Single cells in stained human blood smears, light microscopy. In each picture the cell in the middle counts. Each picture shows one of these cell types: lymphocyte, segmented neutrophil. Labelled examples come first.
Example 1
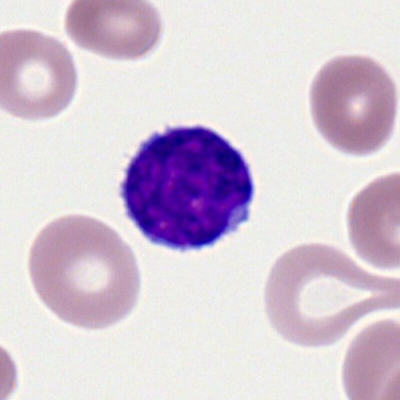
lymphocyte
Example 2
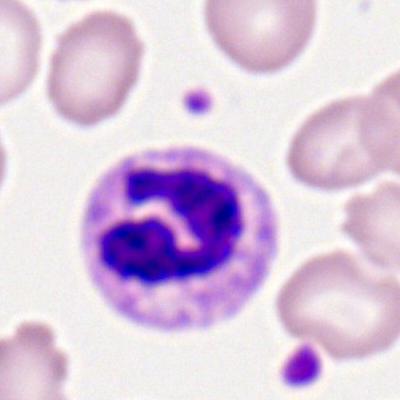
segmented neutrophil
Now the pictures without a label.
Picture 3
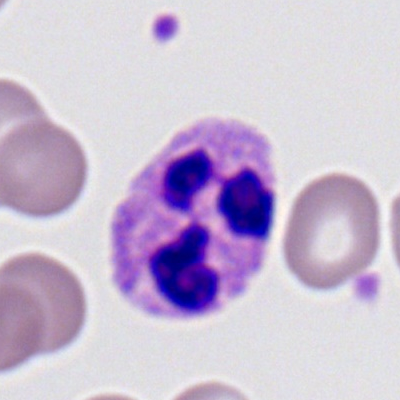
segmented neutrophil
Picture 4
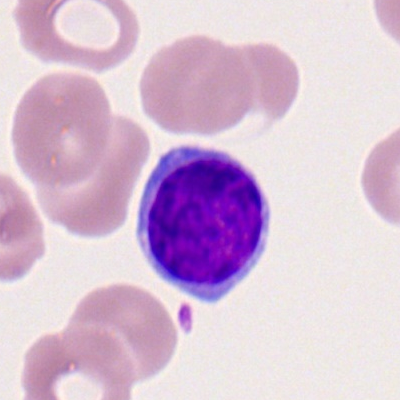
lymphocyte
